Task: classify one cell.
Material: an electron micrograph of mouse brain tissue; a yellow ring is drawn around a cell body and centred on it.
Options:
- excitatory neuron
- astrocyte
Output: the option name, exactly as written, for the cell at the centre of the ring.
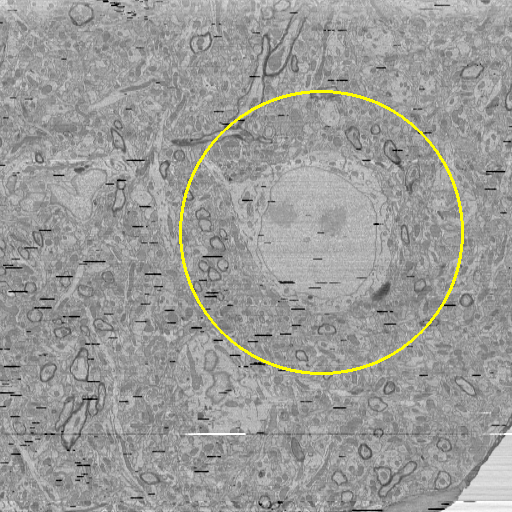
excitatory neuron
